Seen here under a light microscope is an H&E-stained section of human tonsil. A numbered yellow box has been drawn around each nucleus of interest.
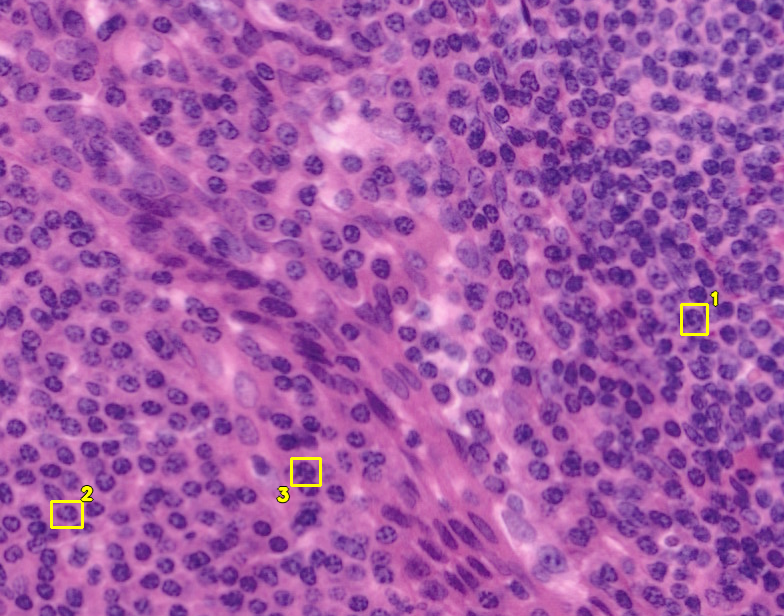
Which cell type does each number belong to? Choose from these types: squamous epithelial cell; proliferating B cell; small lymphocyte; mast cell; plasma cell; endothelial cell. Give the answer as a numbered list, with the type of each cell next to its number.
1. small lymphocyte
2. plasma cell
3. plasma cell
